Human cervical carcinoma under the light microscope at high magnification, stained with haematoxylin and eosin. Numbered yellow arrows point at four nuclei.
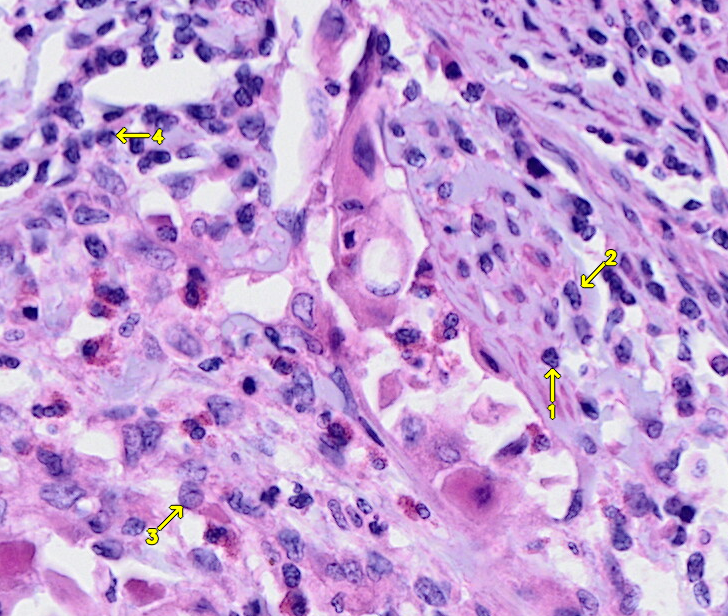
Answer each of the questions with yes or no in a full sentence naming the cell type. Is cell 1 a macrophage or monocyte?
No, cell 1 is not a macrophage or monocyte; a lymphocyte is correct.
